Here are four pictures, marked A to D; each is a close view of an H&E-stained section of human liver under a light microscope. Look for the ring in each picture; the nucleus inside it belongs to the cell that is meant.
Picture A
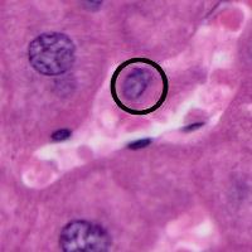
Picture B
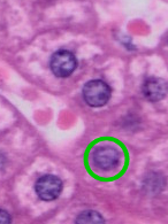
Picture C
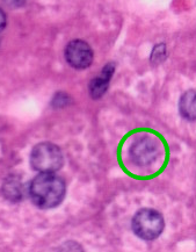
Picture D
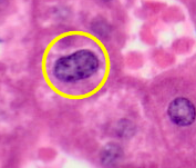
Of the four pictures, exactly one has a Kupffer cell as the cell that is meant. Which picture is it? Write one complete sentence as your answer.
The picture with the Kupffer cell is A.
